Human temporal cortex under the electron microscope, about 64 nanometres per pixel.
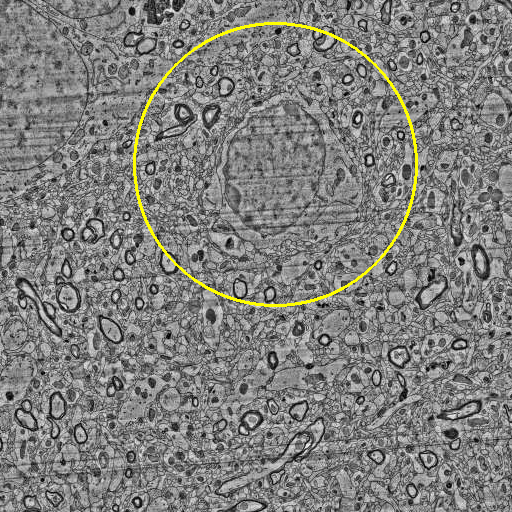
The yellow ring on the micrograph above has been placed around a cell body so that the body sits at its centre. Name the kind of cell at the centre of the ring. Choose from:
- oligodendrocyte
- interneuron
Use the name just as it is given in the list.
interneuron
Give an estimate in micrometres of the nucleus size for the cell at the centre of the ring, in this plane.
Roughly 8 by 6 micrometres is the size of the nucleus in this plane.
